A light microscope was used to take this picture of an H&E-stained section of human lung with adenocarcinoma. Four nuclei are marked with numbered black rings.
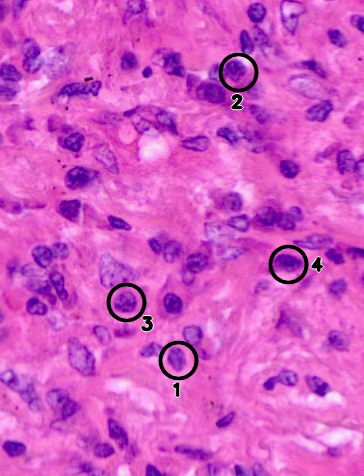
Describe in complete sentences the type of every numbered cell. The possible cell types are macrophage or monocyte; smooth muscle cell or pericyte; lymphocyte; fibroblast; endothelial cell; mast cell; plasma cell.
Cell 1 is a lymphocyte, cell 2 is a lymphocyte, cell 3 is a plasma cell and cell 4 is a plasma cell.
